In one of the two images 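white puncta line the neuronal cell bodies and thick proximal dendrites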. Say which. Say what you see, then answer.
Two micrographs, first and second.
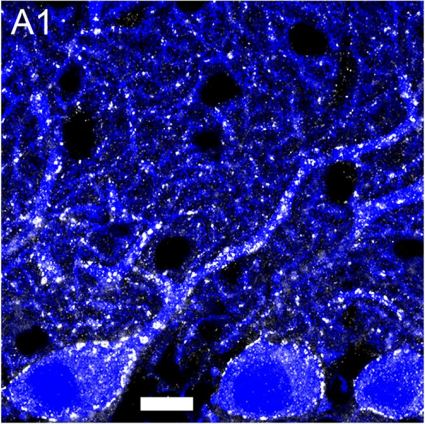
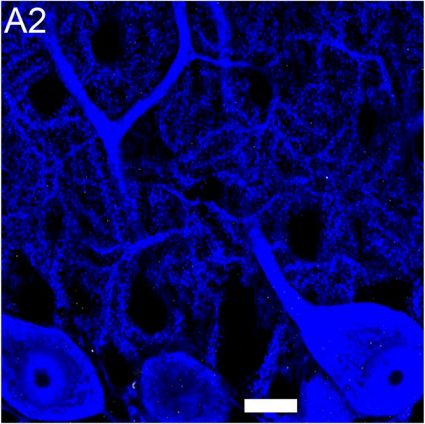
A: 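The first image. Second image: the large blue cell bodies and dendrites are smooth, with no white dots along them. First image: many bright white dots outline the cell bodies and run along the dendritic trunks.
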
